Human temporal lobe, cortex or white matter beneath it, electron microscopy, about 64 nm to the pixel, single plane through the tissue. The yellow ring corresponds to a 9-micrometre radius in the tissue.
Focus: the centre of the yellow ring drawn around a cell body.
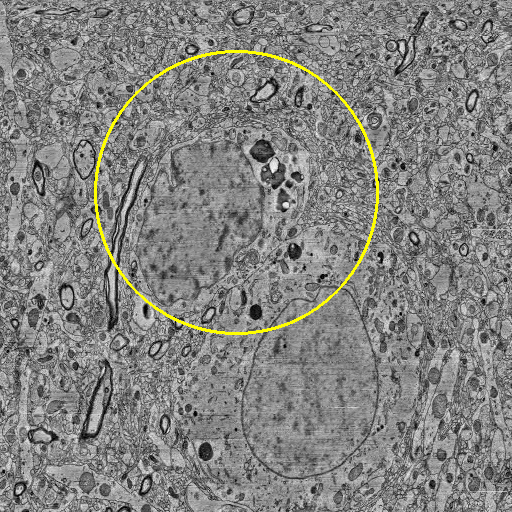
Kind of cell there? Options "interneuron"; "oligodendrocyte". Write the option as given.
interneuron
